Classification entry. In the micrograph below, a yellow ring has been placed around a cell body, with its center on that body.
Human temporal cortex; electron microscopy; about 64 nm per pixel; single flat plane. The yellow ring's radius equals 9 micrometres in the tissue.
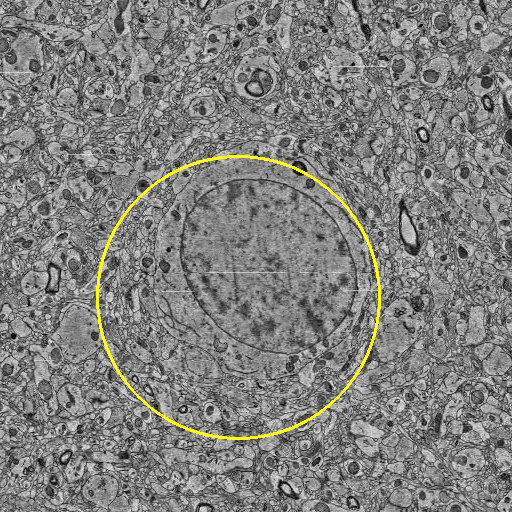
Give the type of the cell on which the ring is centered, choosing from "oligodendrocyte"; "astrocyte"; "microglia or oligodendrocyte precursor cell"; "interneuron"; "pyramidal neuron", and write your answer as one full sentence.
The cell body at the center of the yellow ring belongs to a pyramidal neuron.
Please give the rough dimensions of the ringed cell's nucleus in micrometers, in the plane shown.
The nucleus works out at approximately 12 by 10 micrometres in this plane.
